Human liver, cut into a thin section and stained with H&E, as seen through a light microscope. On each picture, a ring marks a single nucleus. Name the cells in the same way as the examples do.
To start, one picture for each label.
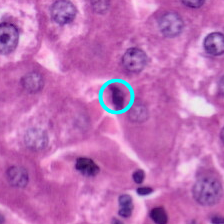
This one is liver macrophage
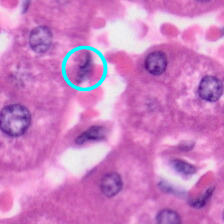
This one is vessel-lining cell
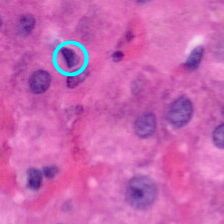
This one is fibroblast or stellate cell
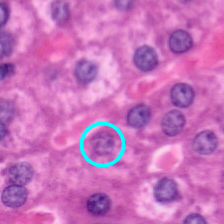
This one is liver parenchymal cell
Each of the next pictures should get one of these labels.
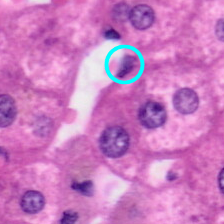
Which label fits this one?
vessel-lining cell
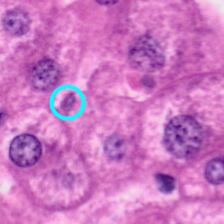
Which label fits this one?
liver macrophage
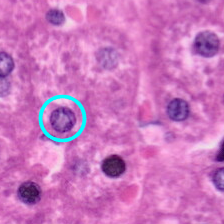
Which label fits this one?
liver parenchymal cell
